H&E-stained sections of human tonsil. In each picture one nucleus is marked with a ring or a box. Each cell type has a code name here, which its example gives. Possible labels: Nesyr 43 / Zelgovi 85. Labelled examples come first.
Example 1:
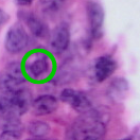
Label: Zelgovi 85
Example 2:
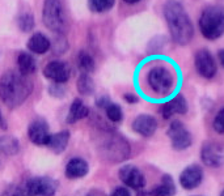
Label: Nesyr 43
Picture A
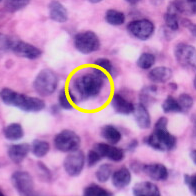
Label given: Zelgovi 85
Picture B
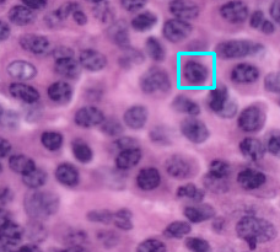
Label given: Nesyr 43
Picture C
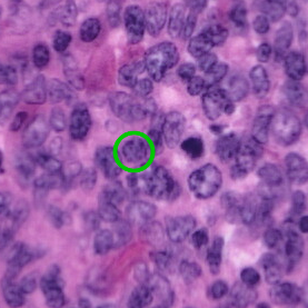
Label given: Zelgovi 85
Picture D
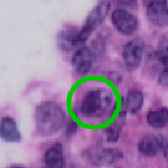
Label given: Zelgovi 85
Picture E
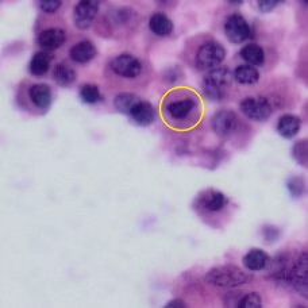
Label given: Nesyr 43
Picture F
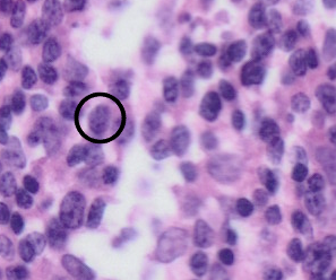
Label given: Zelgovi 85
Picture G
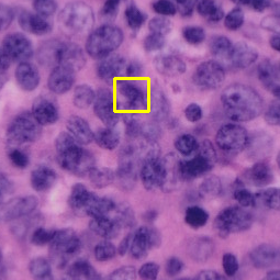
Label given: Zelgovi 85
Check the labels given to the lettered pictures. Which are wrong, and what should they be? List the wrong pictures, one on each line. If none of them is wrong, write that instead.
All labels are correct.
